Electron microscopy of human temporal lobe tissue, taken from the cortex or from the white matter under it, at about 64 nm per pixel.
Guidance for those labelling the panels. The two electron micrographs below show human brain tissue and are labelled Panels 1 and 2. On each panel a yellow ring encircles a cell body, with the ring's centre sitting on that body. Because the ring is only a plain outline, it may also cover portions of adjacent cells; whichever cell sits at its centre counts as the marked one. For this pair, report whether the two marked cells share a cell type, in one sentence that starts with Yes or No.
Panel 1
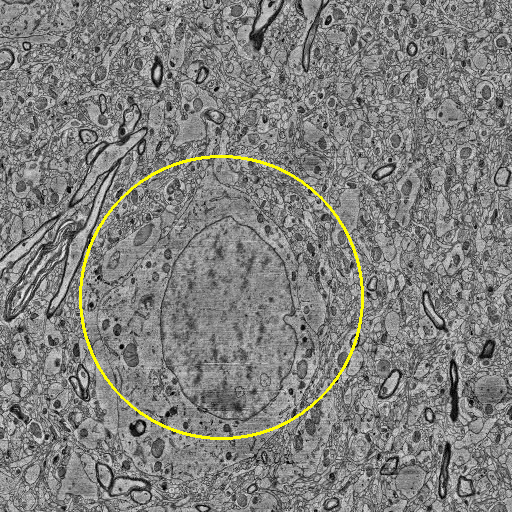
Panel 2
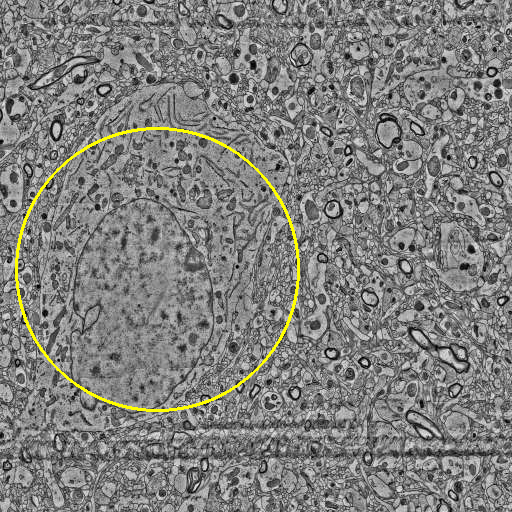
No, in Panel 1 and Panel 2 the marked cells at the ring centres are of two types.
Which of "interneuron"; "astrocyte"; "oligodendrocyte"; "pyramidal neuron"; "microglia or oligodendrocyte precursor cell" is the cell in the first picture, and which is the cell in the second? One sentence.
The two differ: the first cell is a pyramidal neuron and the second is an interneuron.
